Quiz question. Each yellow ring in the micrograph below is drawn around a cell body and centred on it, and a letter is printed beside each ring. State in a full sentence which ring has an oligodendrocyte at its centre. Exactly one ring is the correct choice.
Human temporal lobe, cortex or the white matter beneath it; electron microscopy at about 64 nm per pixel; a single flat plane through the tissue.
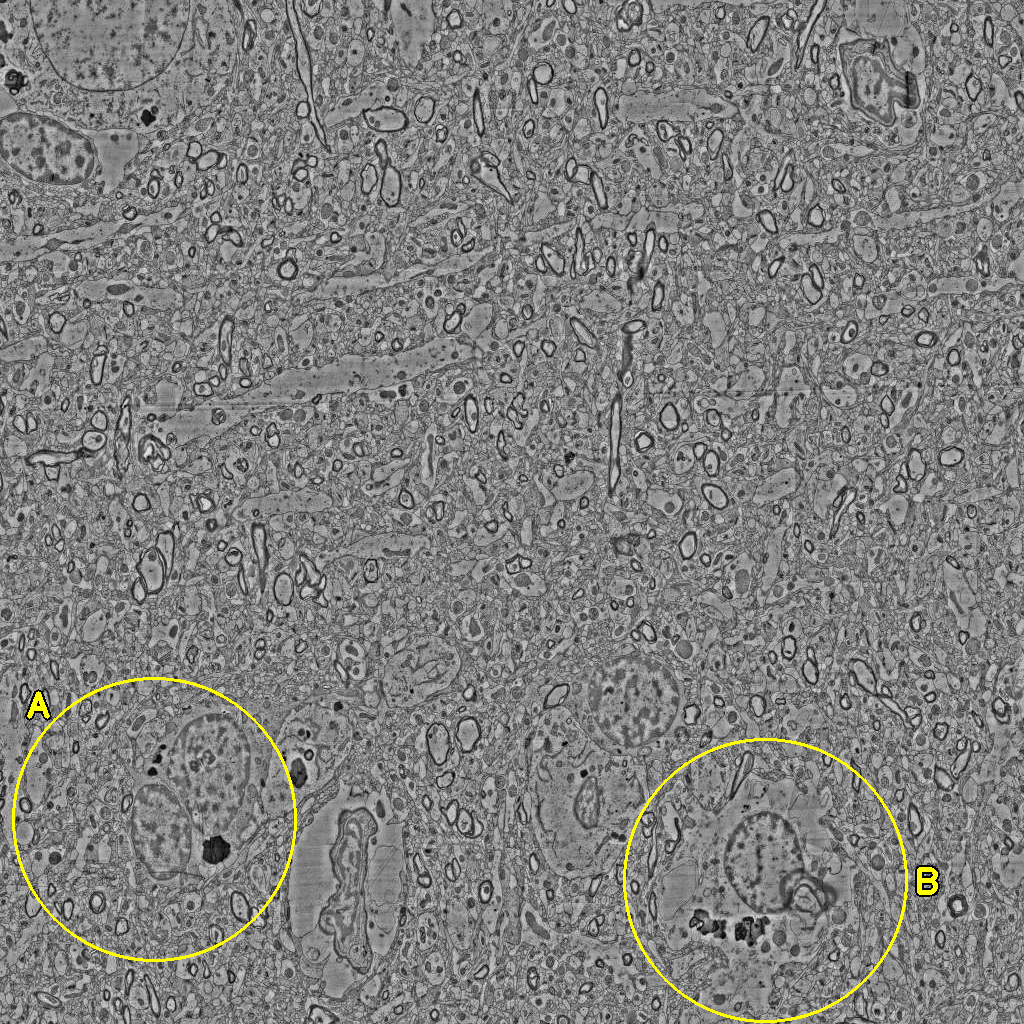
The correct ring is ring A.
